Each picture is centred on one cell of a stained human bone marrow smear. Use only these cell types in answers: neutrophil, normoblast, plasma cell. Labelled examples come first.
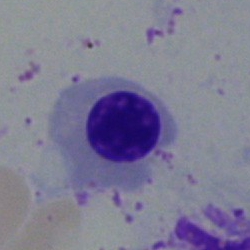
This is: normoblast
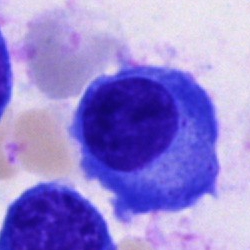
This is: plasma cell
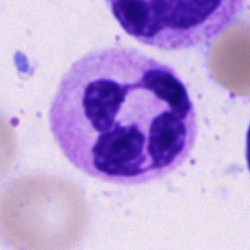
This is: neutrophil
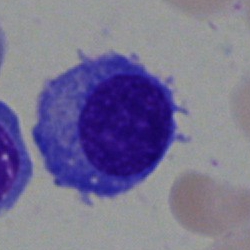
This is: plasma cell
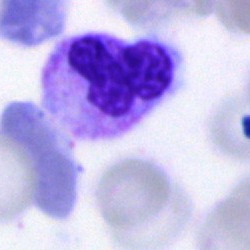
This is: neutrophil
